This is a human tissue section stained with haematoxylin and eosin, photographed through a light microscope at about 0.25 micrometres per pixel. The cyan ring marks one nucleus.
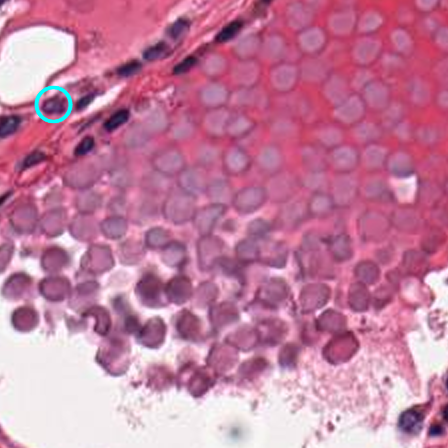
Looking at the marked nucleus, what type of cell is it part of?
thyroid follicular cell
